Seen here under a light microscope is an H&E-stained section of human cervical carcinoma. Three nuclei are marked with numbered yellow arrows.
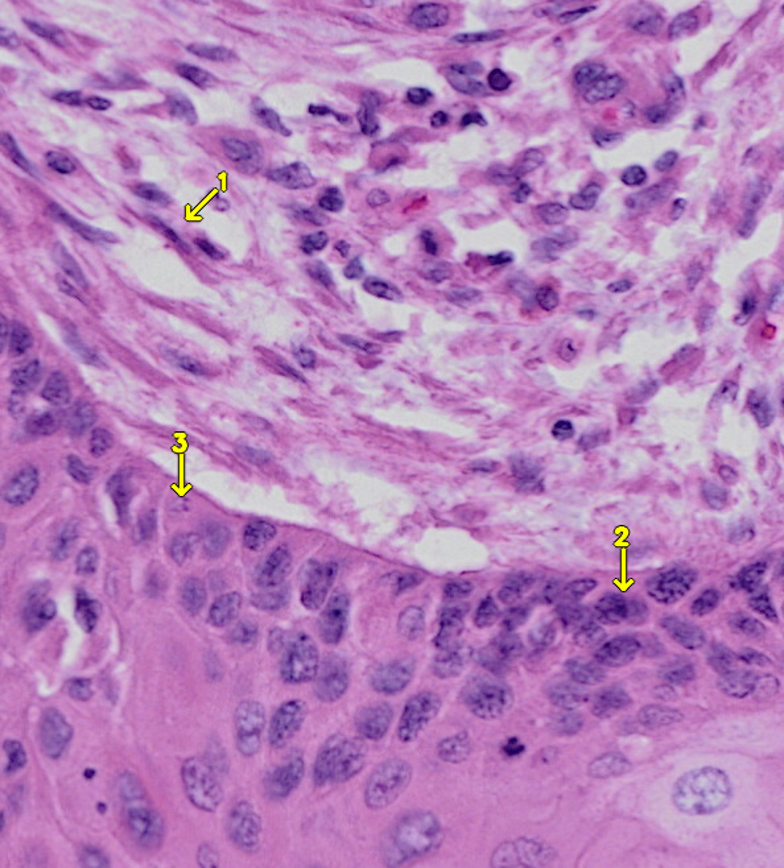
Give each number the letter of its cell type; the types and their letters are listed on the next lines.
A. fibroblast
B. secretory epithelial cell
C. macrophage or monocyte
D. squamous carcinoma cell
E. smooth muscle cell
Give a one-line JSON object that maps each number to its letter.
{"1": "A", "2": "D", "3": "D"}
